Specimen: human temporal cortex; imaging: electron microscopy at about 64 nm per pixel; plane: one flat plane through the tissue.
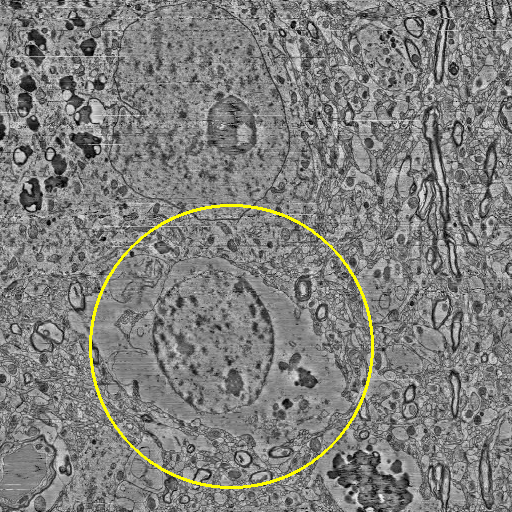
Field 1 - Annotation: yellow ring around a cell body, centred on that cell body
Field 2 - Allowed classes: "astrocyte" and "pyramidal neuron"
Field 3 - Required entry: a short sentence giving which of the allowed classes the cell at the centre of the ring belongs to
The centred cell is an astrocyte.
